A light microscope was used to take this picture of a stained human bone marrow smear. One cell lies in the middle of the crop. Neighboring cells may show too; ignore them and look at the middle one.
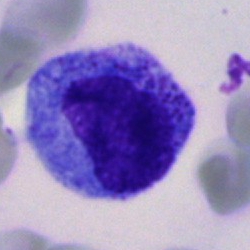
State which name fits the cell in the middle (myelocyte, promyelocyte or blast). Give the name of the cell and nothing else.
promyelocyte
